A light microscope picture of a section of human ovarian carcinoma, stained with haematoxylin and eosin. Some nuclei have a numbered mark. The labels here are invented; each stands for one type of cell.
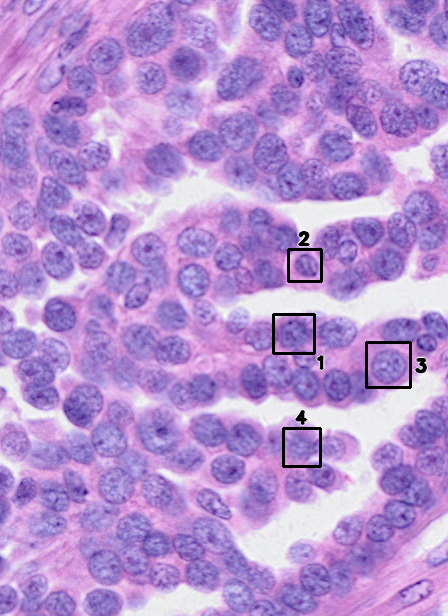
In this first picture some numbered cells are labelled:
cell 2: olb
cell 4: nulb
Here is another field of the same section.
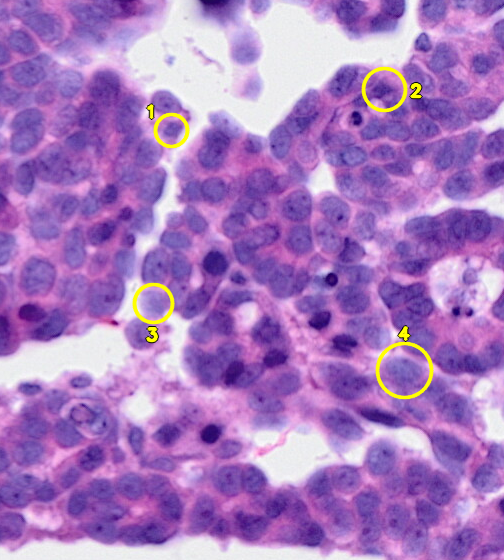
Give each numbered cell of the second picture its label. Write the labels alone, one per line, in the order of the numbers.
olb
nulb
nulb
nulb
